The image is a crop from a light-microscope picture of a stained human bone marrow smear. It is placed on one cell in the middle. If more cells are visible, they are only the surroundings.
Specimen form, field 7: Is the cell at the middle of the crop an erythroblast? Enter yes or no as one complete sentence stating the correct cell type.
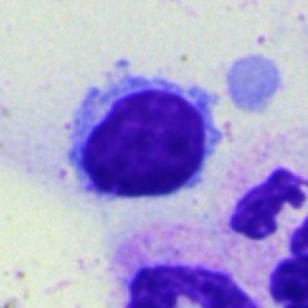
No, the cell placed in the centre is a lymphocyte and is not an erythroblast.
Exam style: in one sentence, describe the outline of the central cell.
It is the contour of the cell that is irregular, being ragged or projecting outward.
